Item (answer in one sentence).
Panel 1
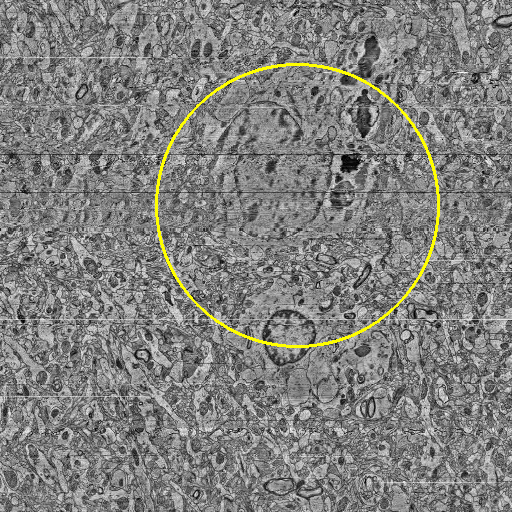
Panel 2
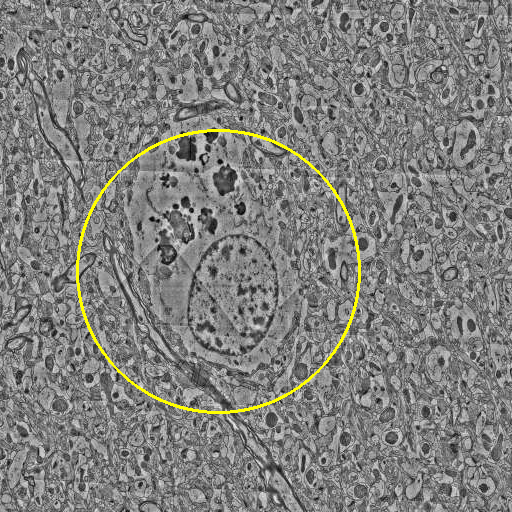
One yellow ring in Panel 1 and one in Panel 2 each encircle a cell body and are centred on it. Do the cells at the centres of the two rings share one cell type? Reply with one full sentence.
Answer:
Yes, Panel 1 and Panel 2 show cells of one type at the centres of their rings.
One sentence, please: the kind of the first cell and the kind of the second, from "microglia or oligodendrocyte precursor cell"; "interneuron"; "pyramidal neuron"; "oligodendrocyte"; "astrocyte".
Each cell, in the first picture and the second, is an astrocyte.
